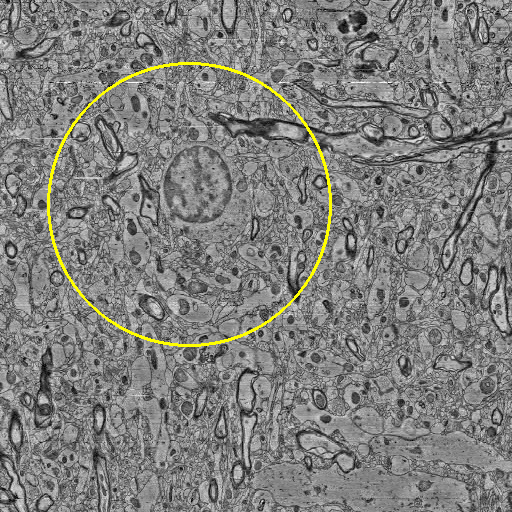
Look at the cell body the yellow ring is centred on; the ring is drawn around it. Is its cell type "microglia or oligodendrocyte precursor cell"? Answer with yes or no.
No, its cell type is another.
